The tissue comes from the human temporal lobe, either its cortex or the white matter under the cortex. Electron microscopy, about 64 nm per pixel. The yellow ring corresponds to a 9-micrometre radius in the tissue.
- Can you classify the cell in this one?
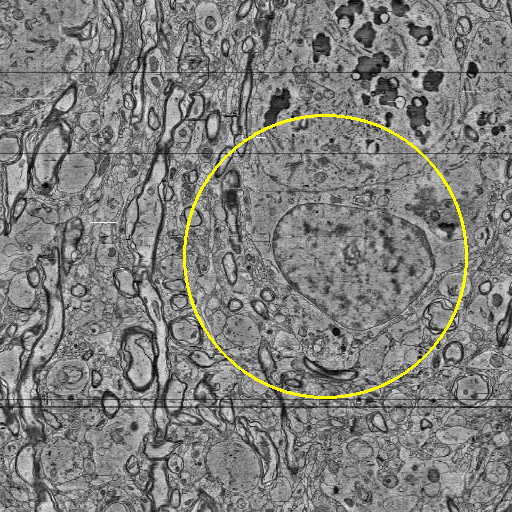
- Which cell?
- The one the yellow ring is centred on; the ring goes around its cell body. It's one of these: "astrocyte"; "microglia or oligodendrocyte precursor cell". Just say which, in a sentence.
The cell body in the ring belongs to a microglial cell or oligodendrocyte precursor cell.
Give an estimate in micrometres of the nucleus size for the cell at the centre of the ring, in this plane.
The nucleus has a long axis of about 10 micrometres and a short axis of about 8 micrometres in this plane.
